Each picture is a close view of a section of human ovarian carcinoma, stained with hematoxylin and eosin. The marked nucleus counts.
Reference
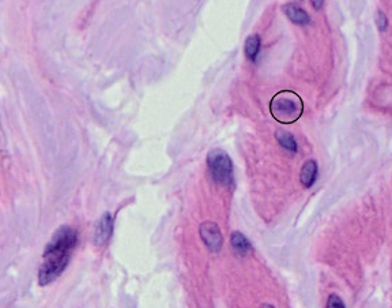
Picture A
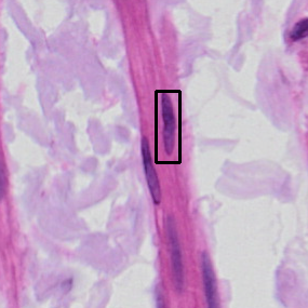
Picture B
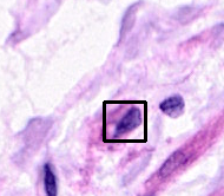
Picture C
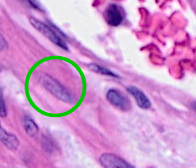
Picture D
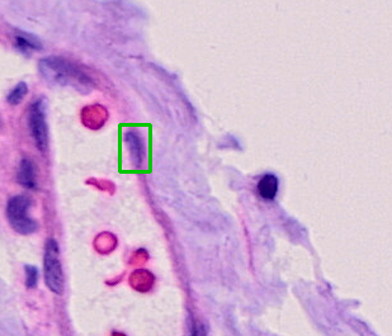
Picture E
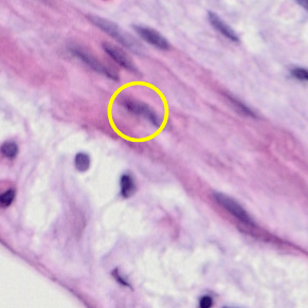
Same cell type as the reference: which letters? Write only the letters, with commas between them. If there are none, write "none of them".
A, C, E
